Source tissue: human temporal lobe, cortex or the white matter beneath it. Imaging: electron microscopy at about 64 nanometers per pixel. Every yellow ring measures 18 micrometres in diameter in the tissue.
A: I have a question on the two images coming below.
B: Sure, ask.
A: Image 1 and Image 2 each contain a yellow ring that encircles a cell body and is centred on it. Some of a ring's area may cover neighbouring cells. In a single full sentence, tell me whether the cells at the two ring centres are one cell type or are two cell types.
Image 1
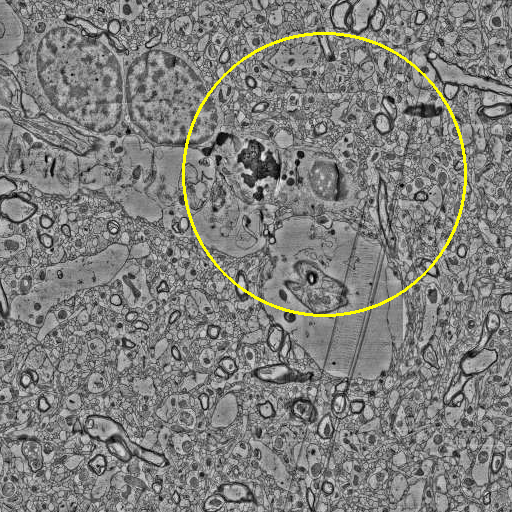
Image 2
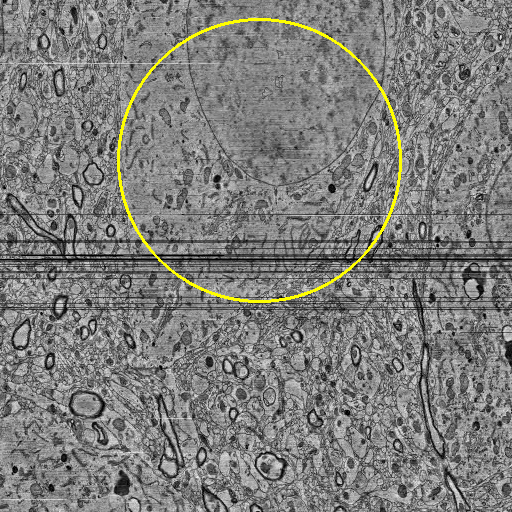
As for the ring-centre cells, the one in Image 1 and the one in Image 2 are two cell types.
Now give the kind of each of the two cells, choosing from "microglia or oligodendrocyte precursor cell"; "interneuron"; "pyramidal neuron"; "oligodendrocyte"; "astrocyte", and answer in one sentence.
The cell in the first picture is an oligodendrocyte, and the cell in the second is a pyramidal neuron.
